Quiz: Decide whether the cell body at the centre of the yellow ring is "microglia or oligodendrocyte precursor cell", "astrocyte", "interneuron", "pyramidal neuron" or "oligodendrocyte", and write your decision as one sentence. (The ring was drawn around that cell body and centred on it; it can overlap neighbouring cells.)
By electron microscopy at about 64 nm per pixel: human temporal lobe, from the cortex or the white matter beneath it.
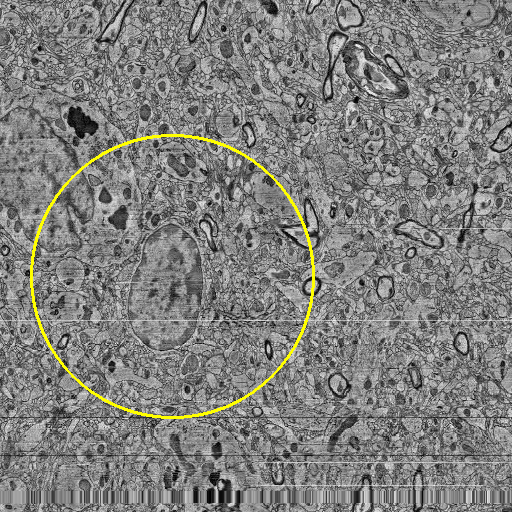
The cell the ring is centred on is a microglial cell or oligodendrocyte precursor cell.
